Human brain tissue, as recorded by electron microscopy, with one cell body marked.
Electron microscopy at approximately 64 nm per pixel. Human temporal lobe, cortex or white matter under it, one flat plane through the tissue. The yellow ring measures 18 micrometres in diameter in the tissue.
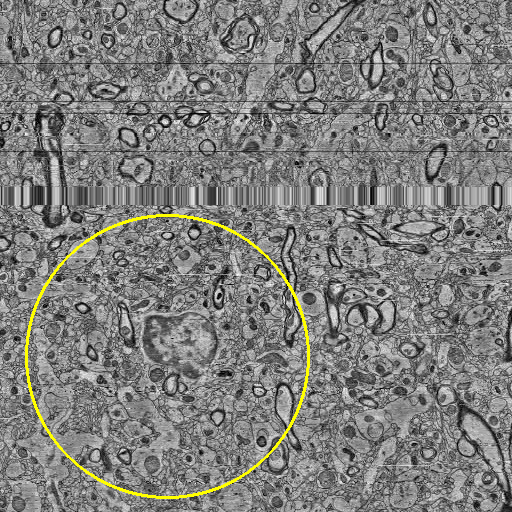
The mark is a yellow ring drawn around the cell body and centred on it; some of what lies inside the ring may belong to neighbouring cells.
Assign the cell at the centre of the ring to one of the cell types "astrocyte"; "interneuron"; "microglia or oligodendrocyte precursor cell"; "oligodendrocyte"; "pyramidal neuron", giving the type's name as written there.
microglia or oligodendrocyte precursor cell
